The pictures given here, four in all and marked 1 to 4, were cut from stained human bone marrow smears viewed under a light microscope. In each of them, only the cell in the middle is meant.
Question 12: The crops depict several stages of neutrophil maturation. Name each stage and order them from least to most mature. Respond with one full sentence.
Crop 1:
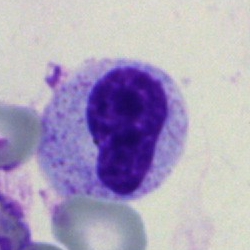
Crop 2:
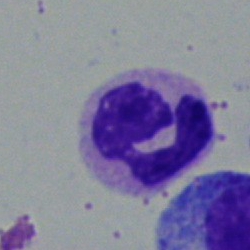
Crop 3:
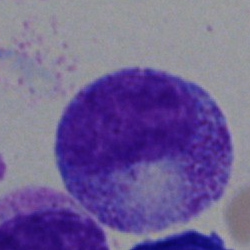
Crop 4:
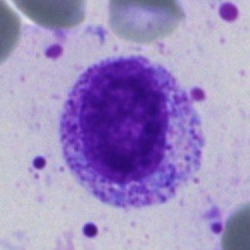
The arrangement from least to most mature is crop 3 (a promyelocyte), crop 4 (a myelocyte), crop 1 (a metamyelocyte) and crop 2 (a segmented neutrophil).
